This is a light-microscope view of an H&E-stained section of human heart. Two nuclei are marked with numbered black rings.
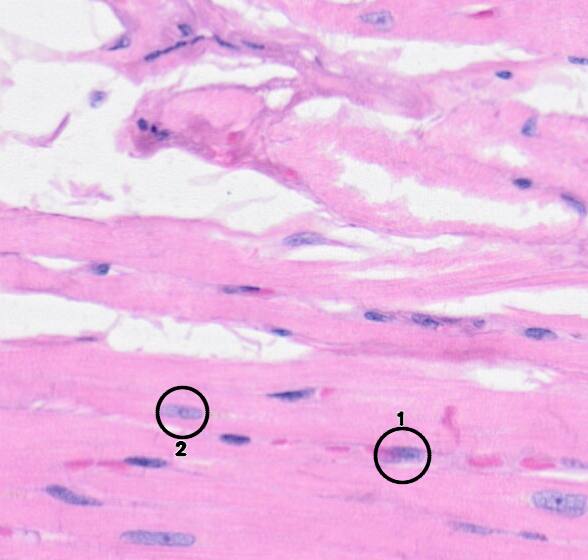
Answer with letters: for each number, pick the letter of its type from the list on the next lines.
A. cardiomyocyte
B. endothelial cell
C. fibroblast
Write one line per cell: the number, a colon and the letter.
1: B
2: A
